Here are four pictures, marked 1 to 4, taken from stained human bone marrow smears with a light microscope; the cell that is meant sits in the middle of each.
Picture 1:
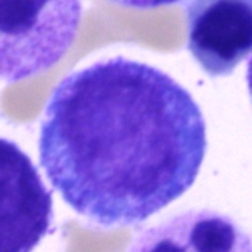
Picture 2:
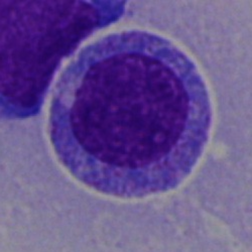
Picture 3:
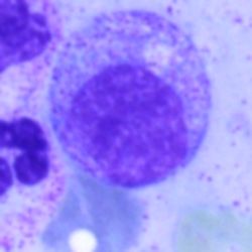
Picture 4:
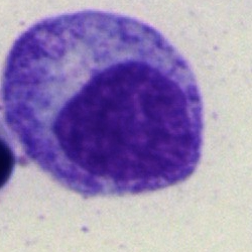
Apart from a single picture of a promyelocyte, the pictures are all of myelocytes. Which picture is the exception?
1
